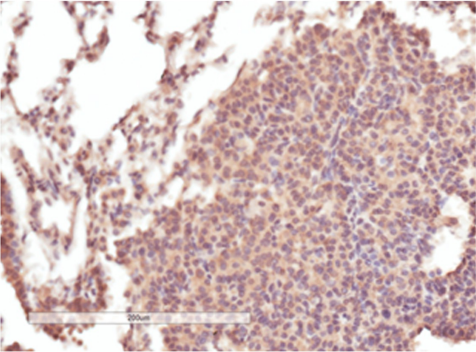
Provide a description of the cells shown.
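This field shows a lung tumor growing as a solid sheet of closely packed cells next to normal-looking air spaces. At the upper left, thin alveolar walls outline open white air spaces. The tumor mass to the right is made of small cells with round nuclei and little cytoplasm. A brown tinge spreads diffusely over the tumor cells rather than being confined to particular structures. The edge of the tumor meets the alveolar tissue directly.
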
